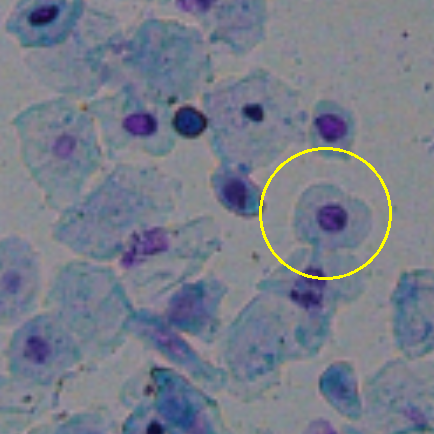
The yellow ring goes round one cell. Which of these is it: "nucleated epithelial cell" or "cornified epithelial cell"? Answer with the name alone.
nucleated epithelial cell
